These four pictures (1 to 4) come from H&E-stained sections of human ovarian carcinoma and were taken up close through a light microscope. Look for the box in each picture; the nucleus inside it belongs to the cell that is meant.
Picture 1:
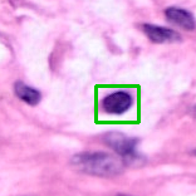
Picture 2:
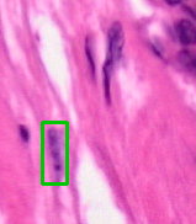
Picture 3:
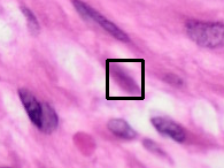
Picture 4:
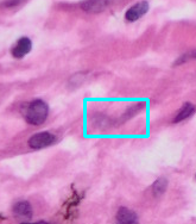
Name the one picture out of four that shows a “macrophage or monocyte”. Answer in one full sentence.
The picture with the “macrophage or monocyte” is 1.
